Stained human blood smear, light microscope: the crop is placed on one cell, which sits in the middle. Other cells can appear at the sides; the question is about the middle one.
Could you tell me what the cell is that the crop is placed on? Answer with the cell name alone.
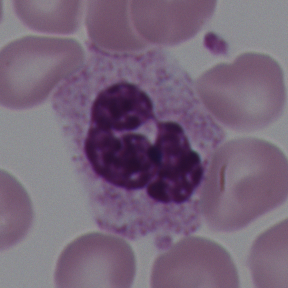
neutrophil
